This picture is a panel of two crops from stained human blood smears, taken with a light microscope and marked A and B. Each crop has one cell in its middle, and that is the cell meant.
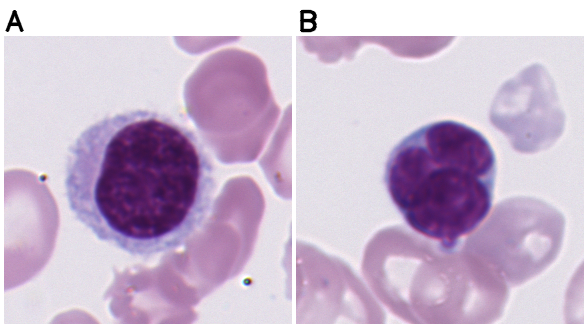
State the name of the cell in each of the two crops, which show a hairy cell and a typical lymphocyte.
A: hairy cell
B: typical lymphocyte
